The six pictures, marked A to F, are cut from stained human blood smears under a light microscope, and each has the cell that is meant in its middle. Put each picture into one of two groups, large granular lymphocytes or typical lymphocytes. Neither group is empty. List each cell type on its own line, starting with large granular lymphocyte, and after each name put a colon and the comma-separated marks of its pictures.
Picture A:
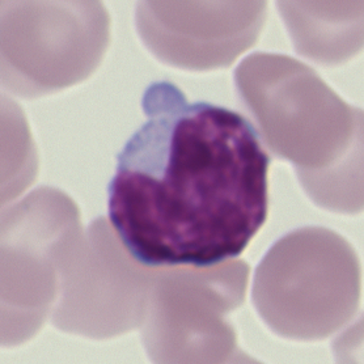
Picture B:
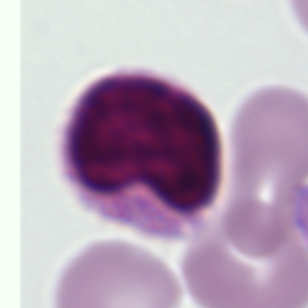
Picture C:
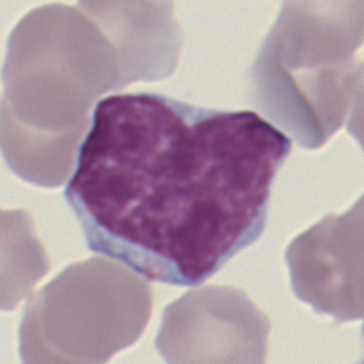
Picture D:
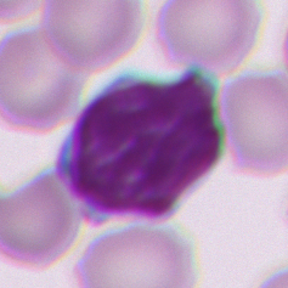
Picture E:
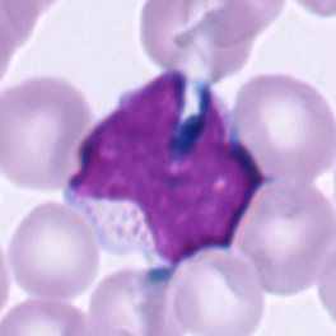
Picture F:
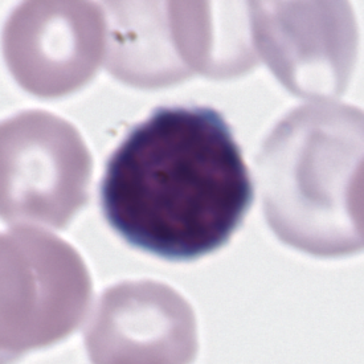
large granular lymphocyte: A, B, E
typical lymphocyte: C, D, F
